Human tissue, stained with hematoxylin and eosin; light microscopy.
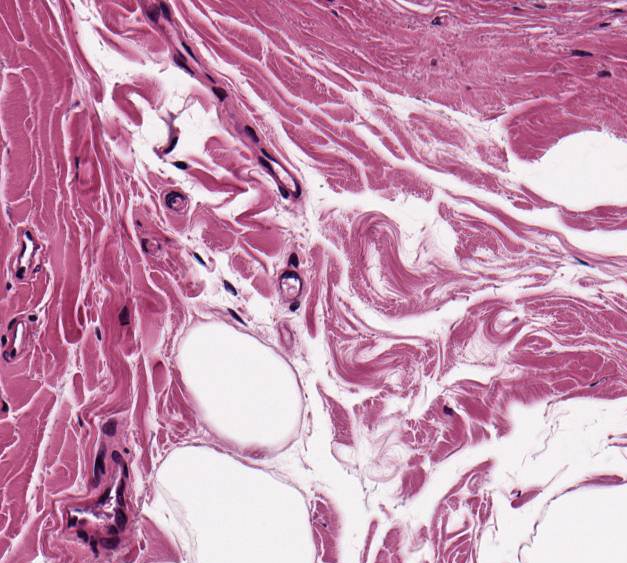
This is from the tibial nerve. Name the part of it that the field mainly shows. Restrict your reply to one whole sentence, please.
Depicted by this section is the tissue part epineurium.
